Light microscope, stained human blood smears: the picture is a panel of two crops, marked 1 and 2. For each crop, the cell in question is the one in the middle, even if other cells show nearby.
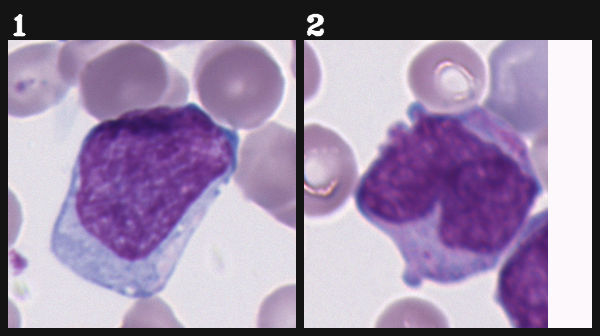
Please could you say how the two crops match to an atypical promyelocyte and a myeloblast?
1: myeloblast
2: atypical promyelocyte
